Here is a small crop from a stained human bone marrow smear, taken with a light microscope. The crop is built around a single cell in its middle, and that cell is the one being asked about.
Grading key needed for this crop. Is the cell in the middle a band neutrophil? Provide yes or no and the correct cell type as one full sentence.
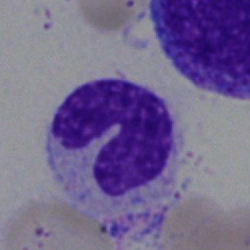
Yes, the cell at the middle is a band neutrophil.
